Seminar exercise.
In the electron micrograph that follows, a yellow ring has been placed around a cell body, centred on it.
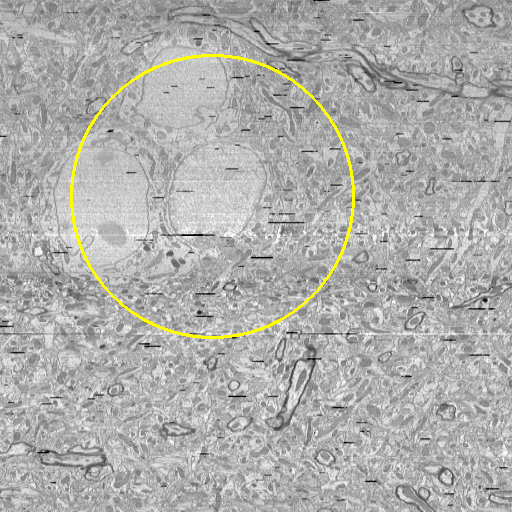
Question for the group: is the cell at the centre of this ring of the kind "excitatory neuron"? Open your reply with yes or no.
No, the cell in the ring's centre is of another kind.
